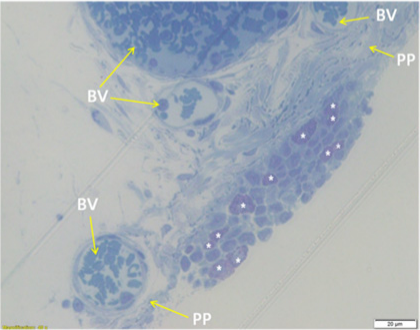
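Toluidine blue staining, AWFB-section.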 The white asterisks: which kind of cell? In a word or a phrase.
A: mast cells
